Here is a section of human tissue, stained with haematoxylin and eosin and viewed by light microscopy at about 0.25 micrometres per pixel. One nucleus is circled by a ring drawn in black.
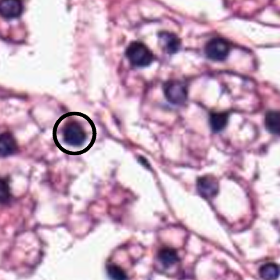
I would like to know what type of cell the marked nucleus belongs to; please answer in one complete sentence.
In this picture it is an adrenal cortical cell whose nucleus is marked.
